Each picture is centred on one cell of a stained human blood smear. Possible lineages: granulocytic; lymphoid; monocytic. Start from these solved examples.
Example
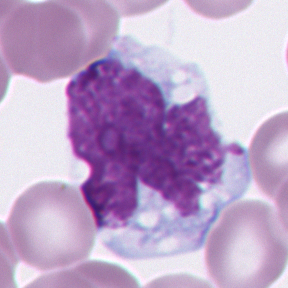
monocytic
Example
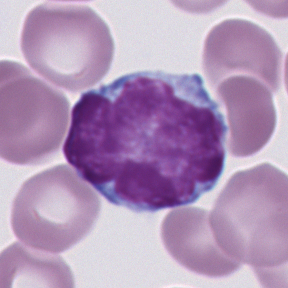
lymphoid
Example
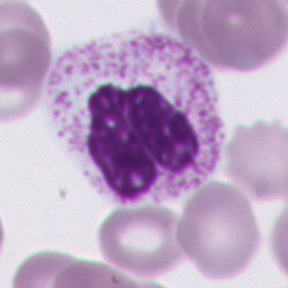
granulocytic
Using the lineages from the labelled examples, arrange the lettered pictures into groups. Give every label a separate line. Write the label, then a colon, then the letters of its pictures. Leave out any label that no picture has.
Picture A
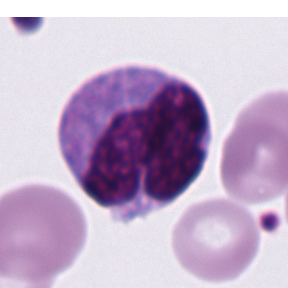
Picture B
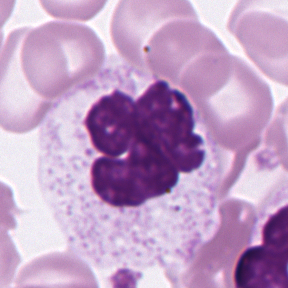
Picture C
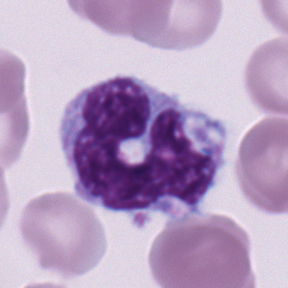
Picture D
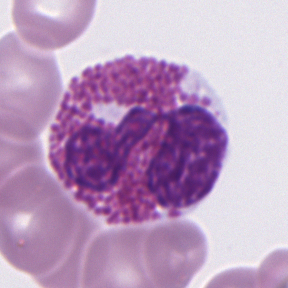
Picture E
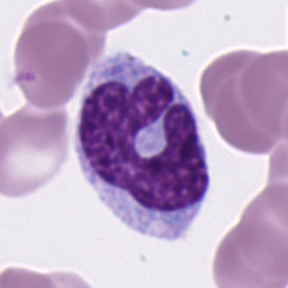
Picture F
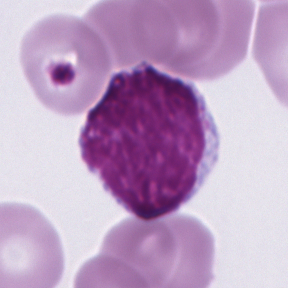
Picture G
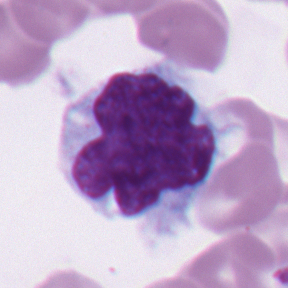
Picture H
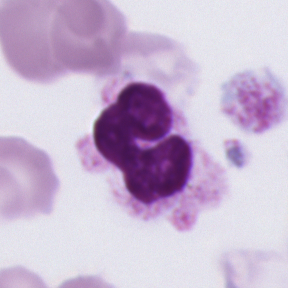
granulocytic: B, D, H
lymphoid: F
monocytic: A, C, E, G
